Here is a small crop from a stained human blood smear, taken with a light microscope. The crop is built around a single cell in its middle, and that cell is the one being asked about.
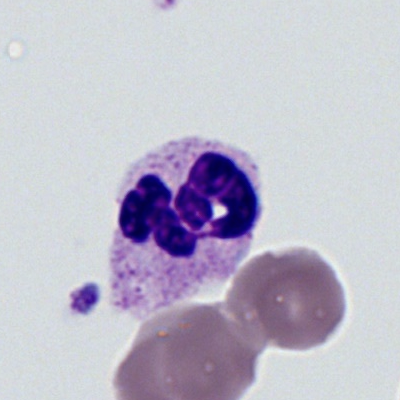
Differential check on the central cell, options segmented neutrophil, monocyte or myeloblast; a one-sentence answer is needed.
What the crop centres on is a segmented neutrophil.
